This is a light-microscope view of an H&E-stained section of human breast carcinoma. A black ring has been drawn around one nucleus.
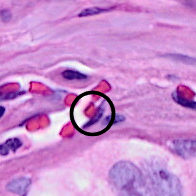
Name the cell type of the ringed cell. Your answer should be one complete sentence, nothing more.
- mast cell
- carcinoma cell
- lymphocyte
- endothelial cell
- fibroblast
In this tissue section, the ringed cell is to be classed as an endothelial cell.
